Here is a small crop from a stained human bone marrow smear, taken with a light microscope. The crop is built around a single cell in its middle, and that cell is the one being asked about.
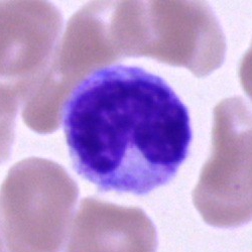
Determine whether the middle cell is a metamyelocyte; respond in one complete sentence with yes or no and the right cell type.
Yes, it is a metamyelocyte that lies in the middle.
